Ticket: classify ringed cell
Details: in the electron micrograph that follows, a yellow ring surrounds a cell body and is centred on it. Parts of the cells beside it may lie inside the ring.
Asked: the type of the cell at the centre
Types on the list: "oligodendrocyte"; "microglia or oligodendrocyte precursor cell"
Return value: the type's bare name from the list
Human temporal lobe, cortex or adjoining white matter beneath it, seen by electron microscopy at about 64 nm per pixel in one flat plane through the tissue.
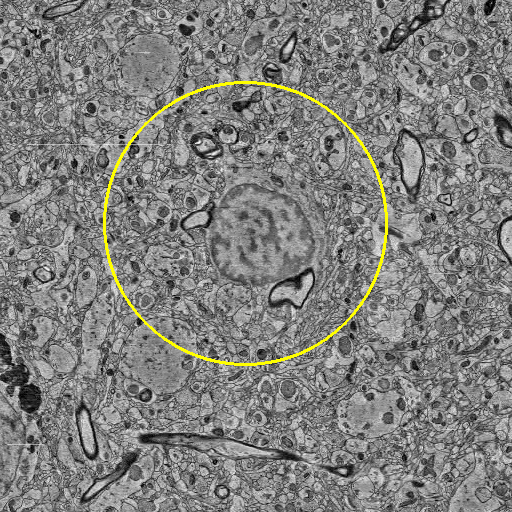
oligodendrocyte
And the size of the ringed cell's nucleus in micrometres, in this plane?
The ringed cell's nucleus measures approximately 7 by 6 micrometres in this plane.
